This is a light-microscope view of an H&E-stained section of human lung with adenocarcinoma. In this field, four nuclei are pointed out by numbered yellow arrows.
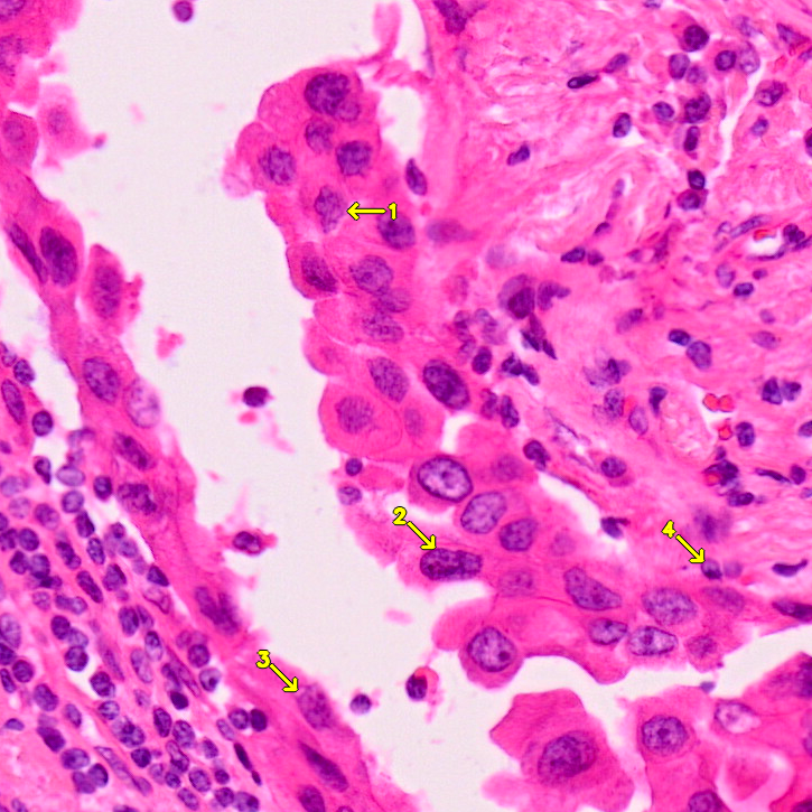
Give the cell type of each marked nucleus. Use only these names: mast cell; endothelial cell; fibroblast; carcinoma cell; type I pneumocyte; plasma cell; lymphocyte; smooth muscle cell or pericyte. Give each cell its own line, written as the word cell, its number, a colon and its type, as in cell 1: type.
cell 1: carcinoma cell
cell 2: carcinoma cell
cell 3: carcinoma cell
cell 4: lymphocyte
